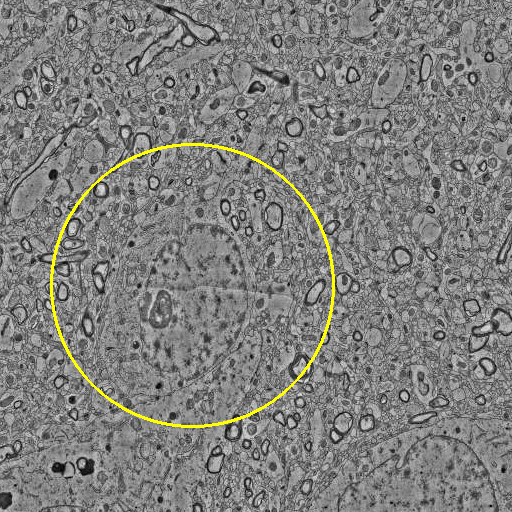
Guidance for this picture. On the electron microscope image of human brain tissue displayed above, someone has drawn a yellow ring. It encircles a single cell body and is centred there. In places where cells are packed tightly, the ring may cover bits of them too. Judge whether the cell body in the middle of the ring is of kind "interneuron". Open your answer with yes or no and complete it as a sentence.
Yes, that kind matches the cell whose body lies at the ring's centre in the image above.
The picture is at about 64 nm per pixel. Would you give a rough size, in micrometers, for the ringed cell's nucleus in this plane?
The ringed cell's nucleus is about 10 micrometres long and 7 micrometres wide in this plane.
